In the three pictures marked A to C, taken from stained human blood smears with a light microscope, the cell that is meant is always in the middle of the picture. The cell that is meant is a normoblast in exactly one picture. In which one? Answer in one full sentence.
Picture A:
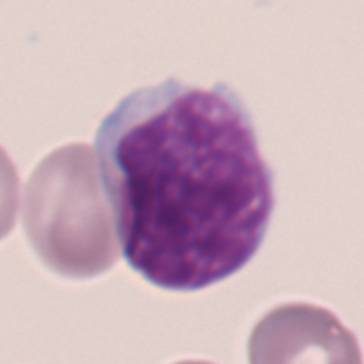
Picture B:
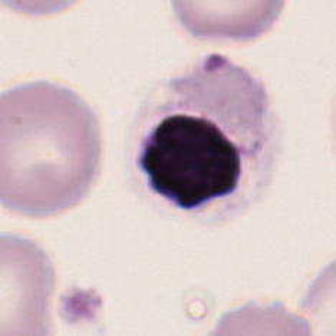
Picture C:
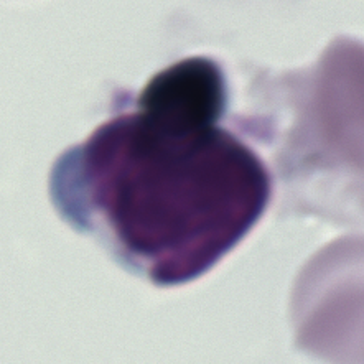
Picture B shows the normoblast.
